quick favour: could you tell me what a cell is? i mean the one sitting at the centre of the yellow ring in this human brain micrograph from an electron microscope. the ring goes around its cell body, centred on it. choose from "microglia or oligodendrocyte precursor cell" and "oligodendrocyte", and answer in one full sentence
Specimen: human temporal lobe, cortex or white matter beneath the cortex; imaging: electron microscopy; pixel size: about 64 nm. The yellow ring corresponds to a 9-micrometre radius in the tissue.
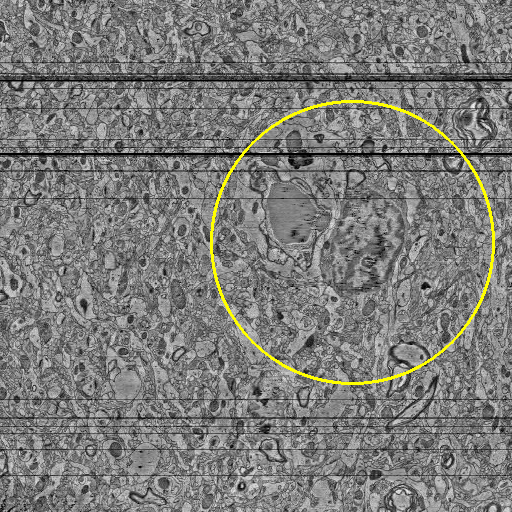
That's an oligodendrocyte, the cell sitting at the centre of the yellow ring.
